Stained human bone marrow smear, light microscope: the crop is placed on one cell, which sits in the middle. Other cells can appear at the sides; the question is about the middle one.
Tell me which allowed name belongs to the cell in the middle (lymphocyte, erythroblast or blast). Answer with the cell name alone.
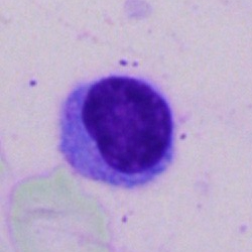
lymphocyte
